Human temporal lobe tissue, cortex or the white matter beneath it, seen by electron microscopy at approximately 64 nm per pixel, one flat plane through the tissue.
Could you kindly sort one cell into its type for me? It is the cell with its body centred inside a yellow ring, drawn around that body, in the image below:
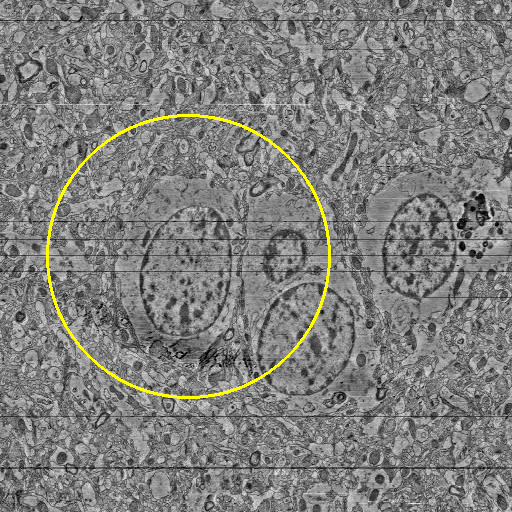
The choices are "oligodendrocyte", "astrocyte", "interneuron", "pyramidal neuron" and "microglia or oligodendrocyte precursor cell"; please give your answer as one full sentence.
The cell whose body lies centred in the yellow ring here is an astrocyte.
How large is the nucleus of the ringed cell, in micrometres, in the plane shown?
In this plane the nucleus is roughly 9 by 6 micrometres, clearly longer than it is wide.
